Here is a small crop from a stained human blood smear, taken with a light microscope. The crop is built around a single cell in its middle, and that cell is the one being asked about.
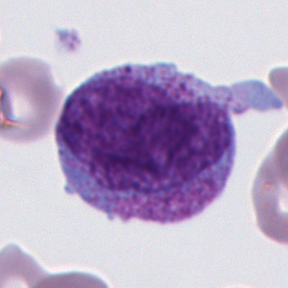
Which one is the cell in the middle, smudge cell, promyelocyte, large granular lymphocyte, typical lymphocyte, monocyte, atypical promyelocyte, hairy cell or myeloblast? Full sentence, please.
The single cell at the center of the crop is an atypical promyelocyte.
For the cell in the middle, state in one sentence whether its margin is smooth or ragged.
Smoothness is lacking at the edge, which is ragged in places or drawn into projections.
